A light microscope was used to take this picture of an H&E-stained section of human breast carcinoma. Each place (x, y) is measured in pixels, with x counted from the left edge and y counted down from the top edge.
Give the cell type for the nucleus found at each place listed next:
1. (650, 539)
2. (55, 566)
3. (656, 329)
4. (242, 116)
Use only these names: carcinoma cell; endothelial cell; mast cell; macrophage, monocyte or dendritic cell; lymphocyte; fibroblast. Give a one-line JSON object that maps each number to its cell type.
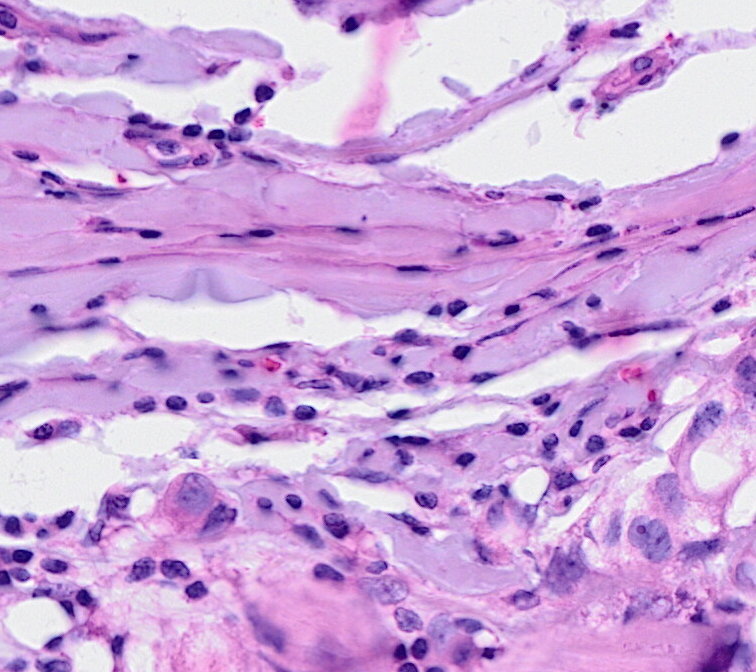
{"1": "carcinoma cell", "2": "lymphocyte", "3": "fibroblast", "4": "lymphocyte"}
